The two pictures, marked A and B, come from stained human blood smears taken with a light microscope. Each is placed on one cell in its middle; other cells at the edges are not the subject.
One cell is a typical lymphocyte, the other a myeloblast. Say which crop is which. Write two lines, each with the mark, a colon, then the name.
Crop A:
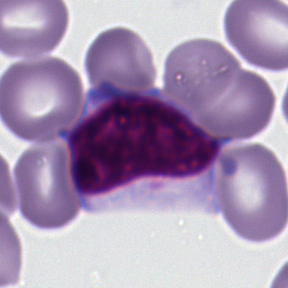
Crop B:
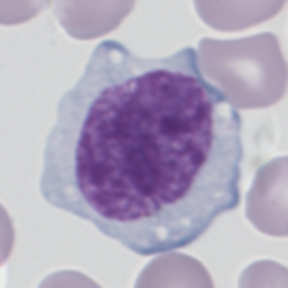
A: typical lymphocyte
B: myeloblast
